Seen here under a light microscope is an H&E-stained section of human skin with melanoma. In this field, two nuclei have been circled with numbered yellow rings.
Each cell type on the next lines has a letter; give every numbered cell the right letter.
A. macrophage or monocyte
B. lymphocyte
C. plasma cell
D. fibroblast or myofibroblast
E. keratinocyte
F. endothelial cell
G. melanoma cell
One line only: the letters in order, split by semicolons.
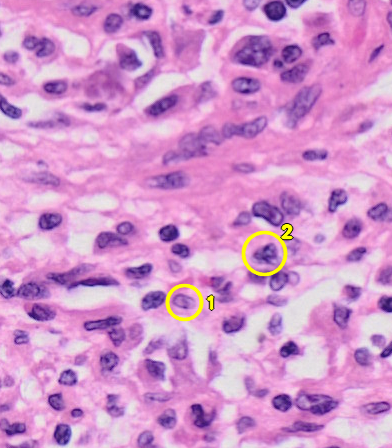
A; B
